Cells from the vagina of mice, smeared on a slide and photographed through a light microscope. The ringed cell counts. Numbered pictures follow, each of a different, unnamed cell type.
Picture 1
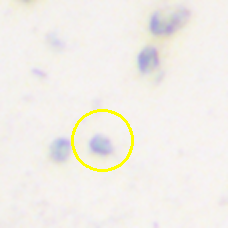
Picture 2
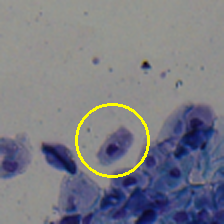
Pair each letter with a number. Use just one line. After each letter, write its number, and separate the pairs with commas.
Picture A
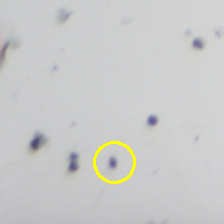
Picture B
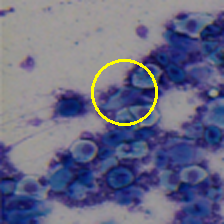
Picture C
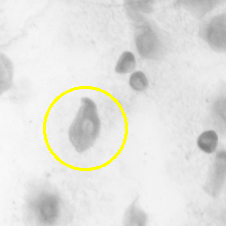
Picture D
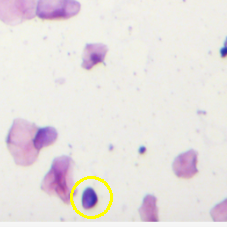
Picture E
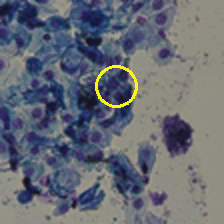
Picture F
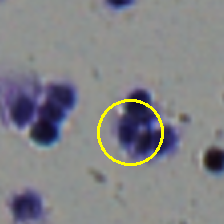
A 1, B 2, C 2, D 2, E 2, F 1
